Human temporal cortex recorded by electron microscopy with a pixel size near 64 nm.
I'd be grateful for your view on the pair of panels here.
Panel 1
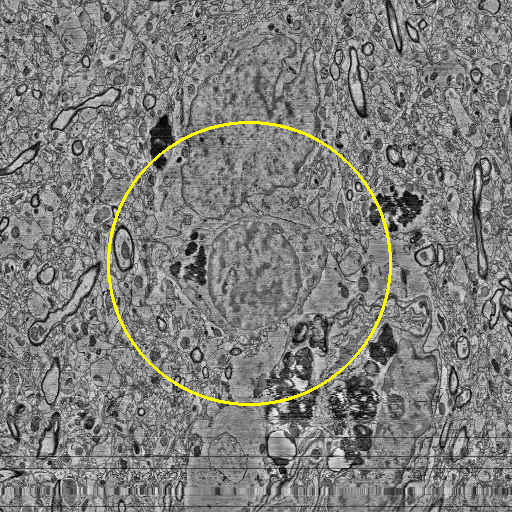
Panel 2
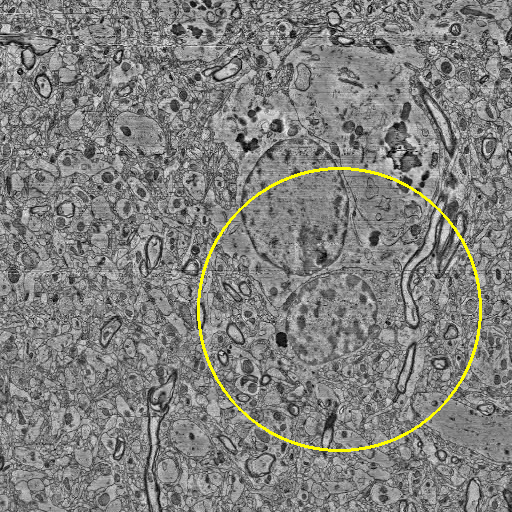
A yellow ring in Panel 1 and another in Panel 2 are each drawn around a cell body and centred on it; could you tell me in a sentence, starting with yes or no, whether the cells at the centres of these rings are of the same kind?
Yes, they are the same kind of cell.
